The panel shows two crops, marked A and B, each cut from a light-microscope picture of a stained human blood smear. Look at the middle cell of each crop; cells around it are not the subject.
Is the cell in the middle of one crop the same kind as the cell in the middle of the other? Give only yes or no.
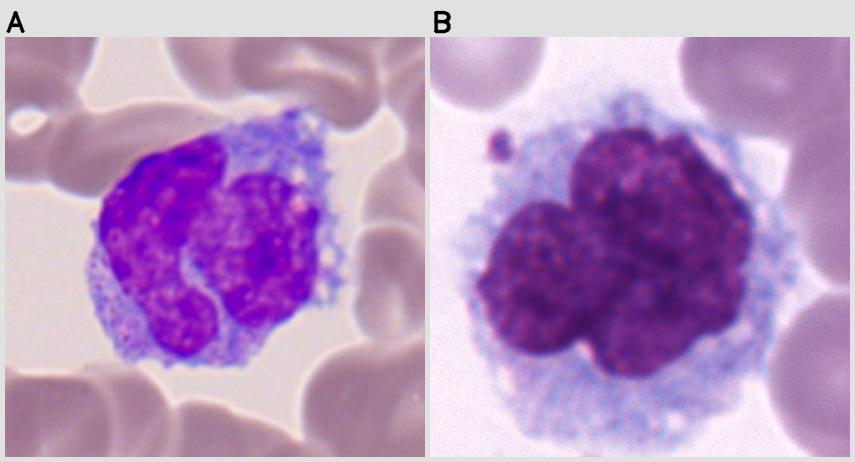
yes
